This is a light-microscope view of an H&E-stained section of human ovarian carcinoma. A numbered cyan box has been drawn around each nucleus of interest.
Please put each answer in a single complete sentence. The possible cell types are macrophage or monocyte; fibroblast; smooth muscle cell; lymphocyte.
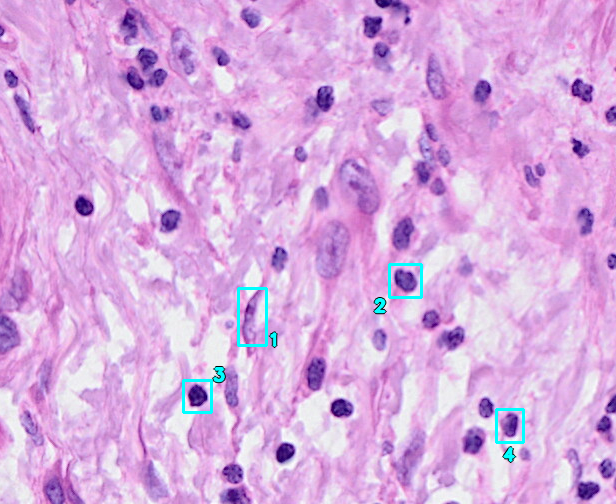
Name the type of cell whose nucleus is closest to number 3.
The nucleus nearest to number 3 is that of a macrophage or monocyte.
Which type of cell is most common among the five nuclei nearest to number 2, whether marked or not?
Most of the five nuclei nearest to number 2 are those of lymphocytes.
